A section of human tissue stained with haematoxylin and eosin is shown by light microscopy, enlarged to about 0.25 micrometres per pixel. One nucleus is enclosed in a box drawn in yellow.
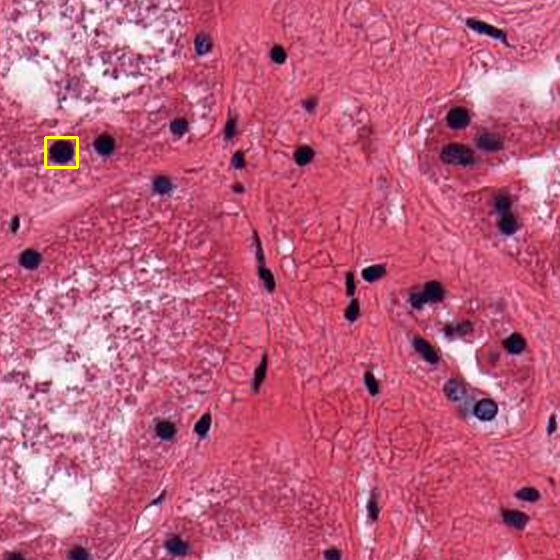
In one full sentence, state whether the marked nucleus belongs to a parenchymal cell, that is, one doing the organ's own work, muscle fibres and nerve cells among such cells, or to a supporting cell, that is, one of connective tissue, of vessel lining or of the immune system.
The marked nucleus is the nucleus of a proximal tubule cell, a cell of the parenchyma.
